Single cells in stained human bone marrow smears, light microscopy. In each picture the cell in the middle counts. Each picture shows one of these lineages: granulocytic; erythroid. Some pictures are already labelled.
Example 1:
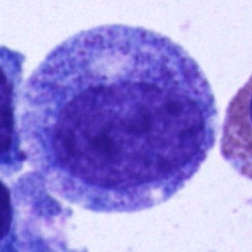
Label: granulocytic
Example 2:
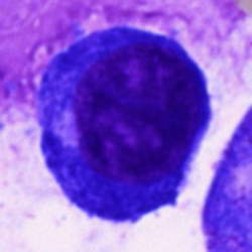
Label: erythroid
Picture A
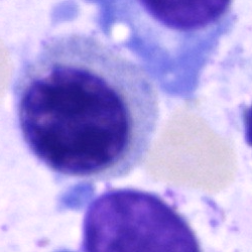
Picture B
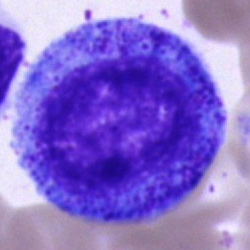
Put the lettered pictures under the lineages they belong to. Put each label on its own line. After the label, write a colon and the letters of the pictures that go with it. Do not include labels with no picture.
granulocytic: B
erythroid: A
